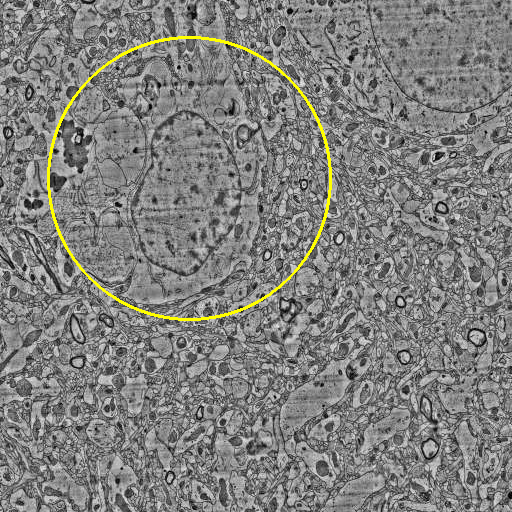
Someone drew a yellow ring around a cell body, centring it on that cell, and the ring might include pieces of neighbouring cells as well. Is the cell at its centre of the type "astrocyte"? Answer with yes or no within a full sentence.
Yes, within the picture, the cell the ring is centred on qualifies as that type.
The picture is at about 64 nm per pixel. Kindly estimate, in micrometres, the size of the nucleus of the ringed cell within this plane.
In this plane, the nucleus is roughly 10 by 7 micrometres.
